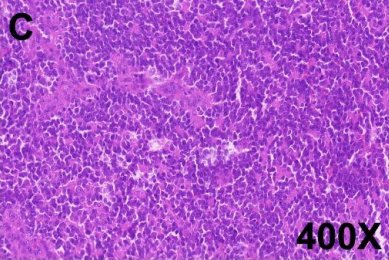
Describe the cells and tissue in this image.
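Sheets of small, blue, round, and pleomorphic tumor cells fill the field with little intervening stroma. The cells are crowded and have scant, poorly defined pale cytoplasm. A few small pink areas and thin vessels lie between the cell sheets.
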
